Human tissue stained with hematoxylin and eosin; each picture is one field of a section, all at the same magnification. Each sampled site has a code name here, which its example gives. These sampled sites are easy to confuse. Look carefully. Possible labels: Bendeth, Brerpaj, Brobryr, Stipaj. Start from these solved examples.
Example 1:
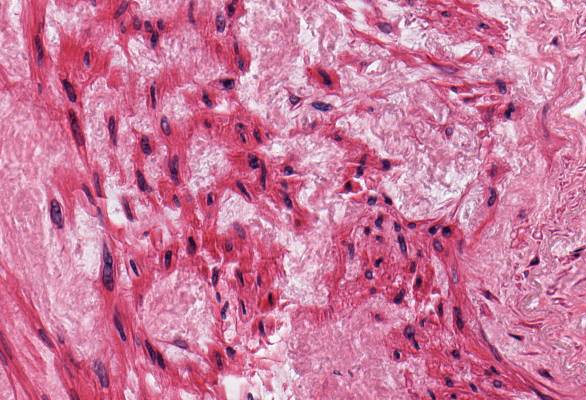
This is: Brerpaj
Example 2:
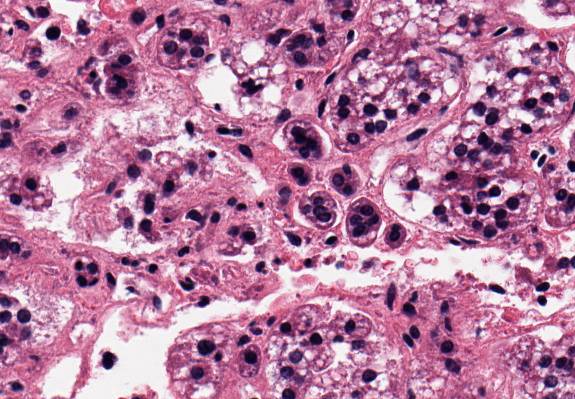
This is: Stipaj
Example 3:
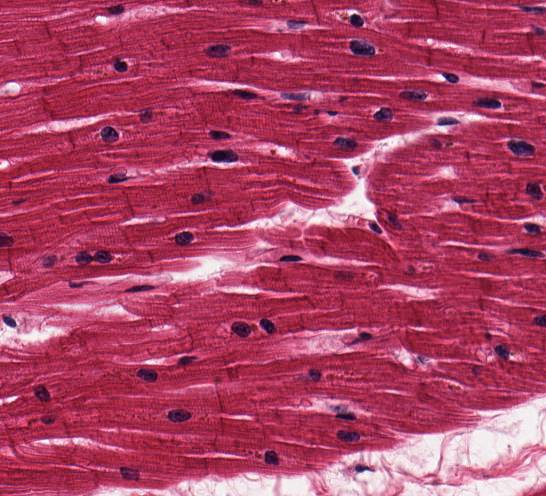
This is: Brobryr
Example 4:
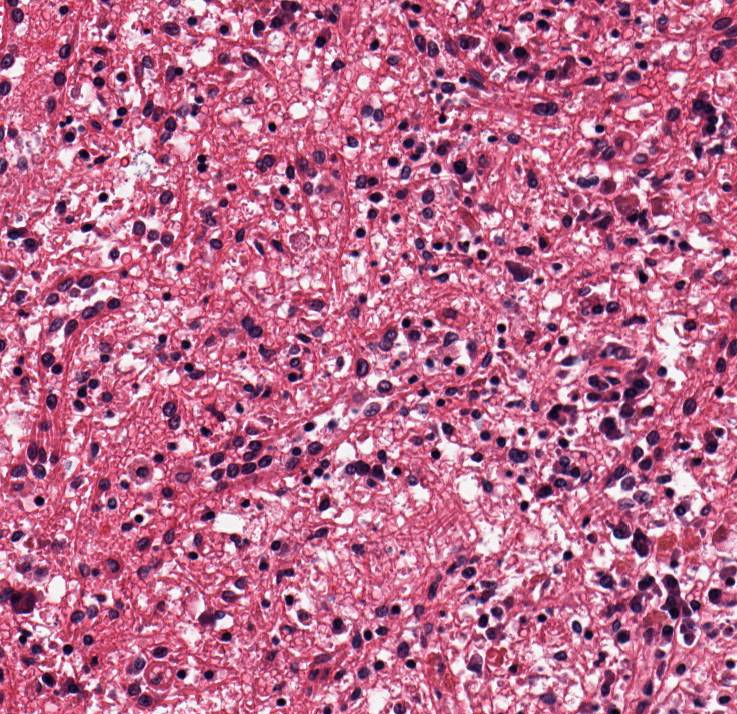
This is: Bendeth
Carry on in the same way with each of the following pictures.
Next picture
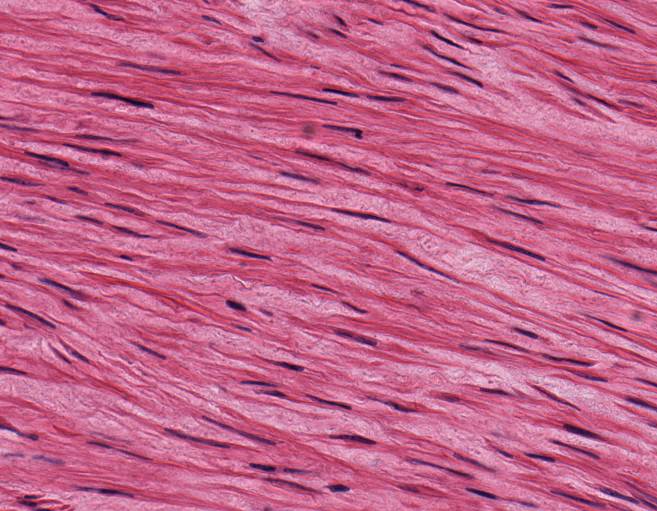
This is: Brerpaj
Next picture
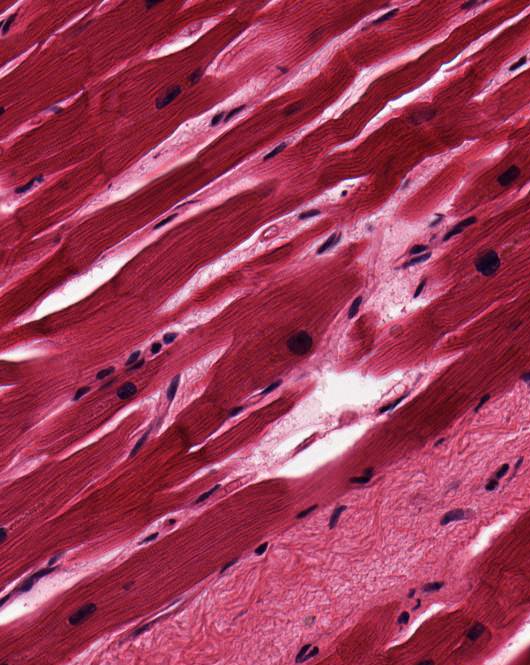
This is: Brobryr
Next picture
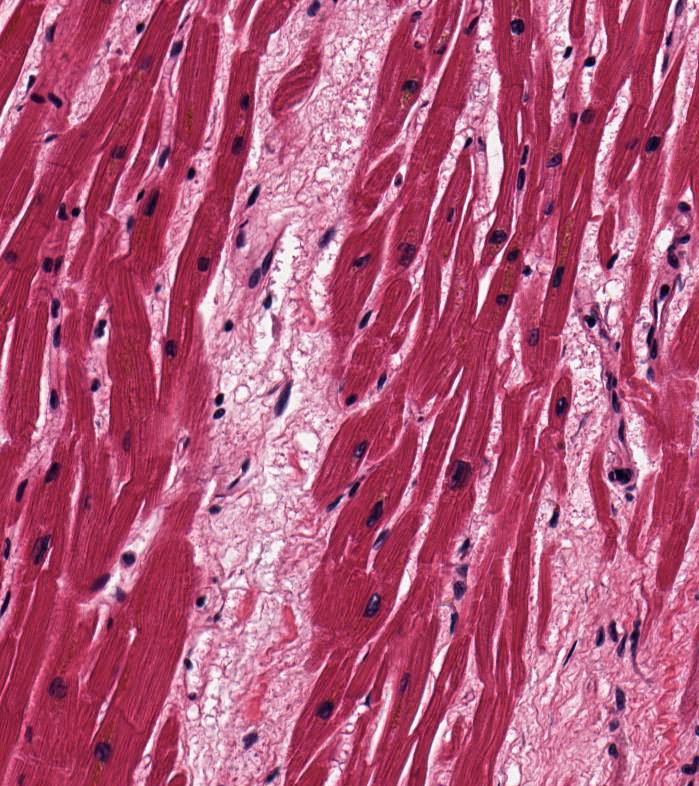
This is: Brobryr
